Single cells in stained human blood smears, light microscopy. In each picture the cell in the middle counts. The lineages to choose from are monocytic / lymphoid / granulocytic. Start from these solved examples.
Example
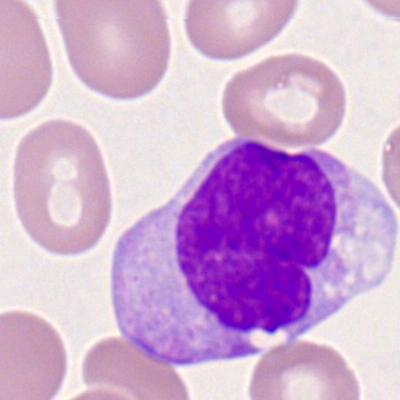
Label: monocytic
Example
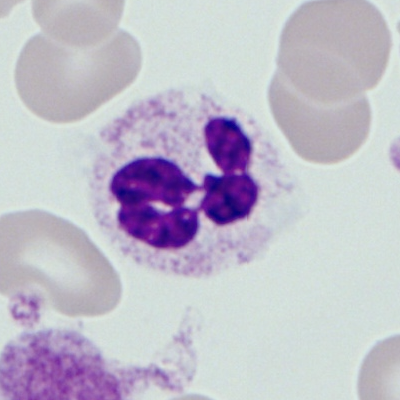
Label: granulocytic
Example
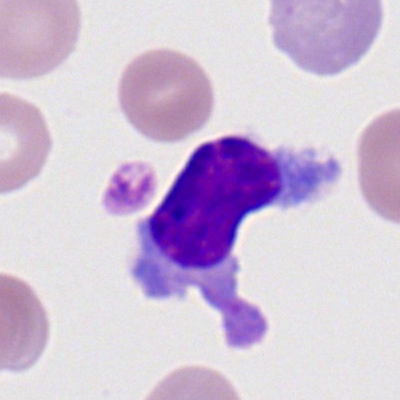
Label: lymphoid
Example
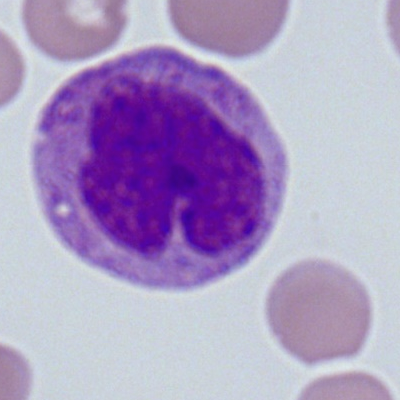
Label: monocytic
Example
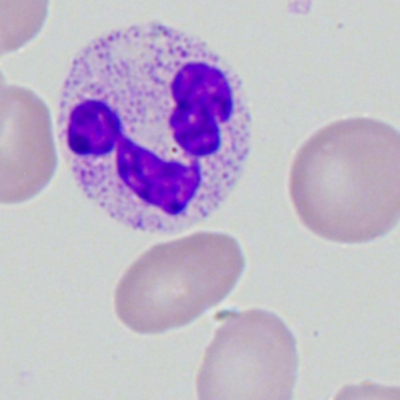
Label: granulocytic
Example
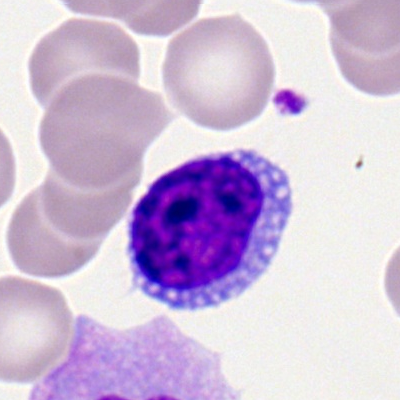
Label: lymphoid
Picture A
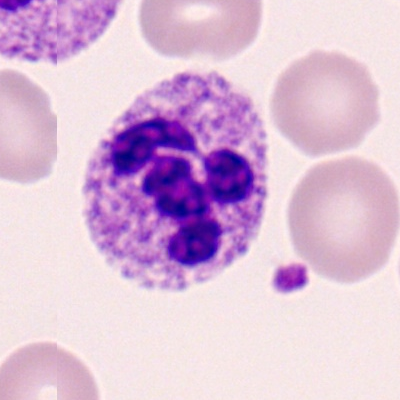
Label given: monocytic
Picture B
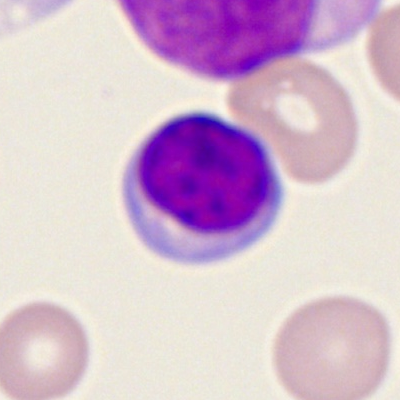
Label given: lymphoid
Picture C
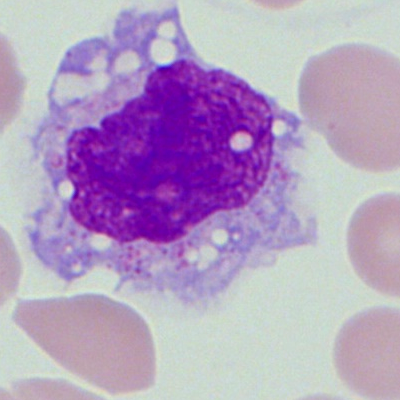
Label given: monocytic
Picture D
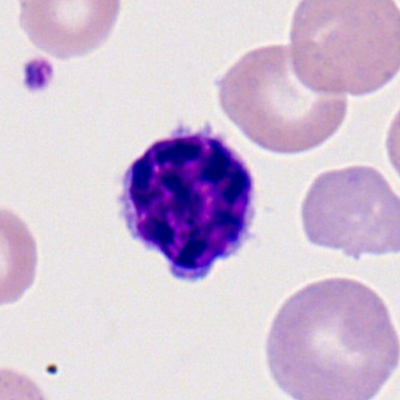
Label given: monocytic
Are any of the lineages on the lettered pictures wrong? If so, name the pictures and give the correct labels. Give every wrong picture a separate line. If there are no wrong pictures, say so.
A: granulocytic, not monocytic
D: lymphoid, not monocytic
